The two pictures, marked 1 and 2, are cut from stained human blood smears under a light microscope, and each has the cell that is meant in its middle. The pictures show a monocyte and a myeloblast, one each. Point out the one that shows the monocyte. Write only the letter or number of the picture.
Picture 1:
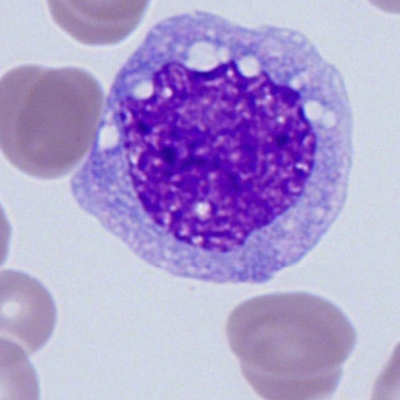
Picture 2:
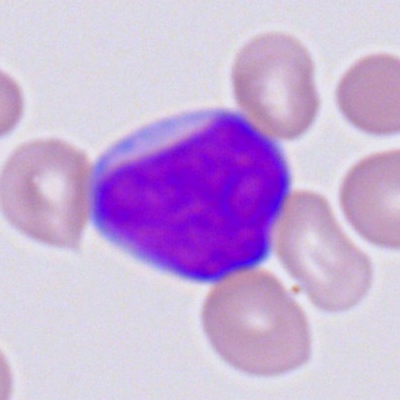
1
